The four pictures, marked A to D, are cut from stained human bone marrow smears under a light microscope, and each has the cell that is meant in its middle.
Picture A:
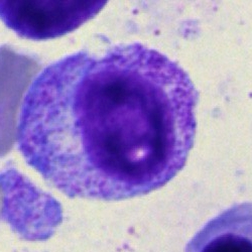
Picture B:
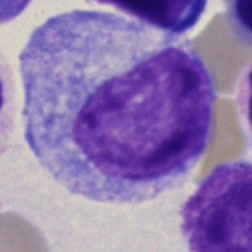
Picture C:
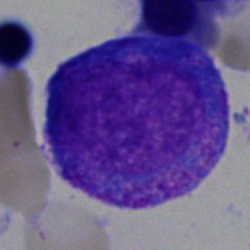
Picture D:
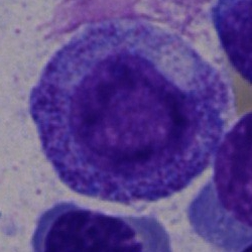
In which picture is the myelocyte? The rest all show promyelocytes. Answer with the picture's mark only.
A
